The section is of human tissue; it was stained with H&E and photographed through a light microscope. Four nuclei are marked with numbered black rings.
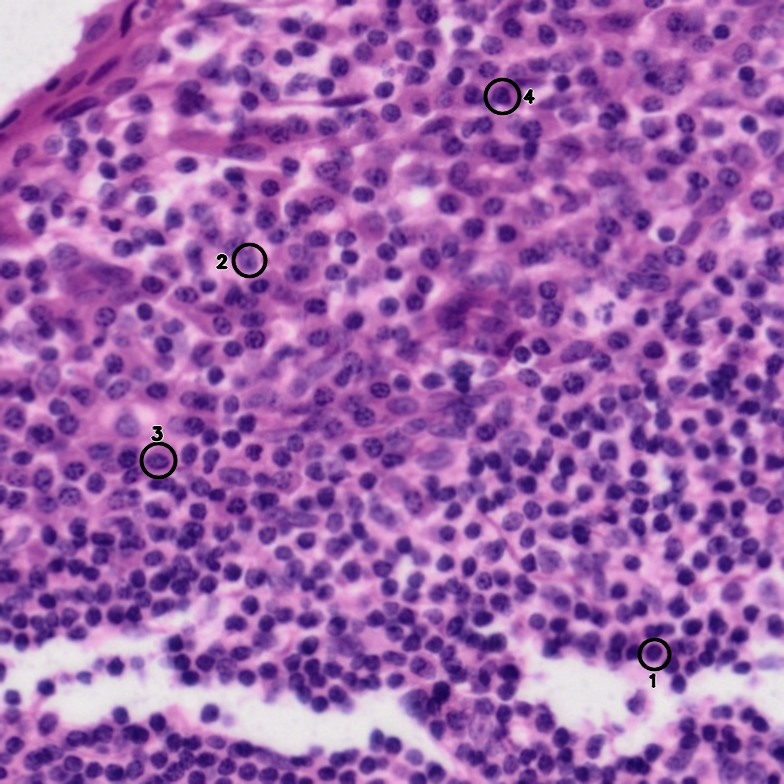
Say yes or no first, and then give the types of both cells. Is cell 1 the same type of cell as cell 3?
No, cell 1 is identified as a small lymphocyte, and cell 3 is identified as a plasma cell.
